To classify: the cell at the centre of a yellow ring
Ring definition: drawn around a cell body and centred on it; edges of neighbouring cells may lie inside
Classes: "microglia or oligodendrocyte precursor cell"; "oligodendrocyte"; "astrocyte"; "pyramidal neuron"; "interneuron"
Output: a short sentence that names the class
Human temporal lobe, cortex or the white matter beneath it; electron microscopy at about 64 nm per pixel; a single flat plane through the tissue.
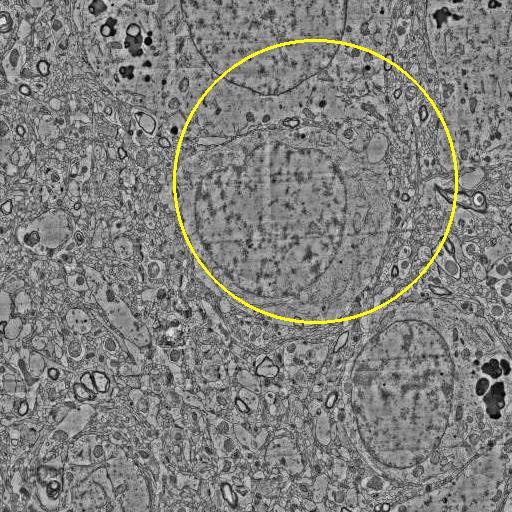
The ringed cell is an interneuron.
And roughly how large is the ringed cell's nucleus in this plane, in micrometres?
Roughly 10 micrometres across for the nucleus, in this plane.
